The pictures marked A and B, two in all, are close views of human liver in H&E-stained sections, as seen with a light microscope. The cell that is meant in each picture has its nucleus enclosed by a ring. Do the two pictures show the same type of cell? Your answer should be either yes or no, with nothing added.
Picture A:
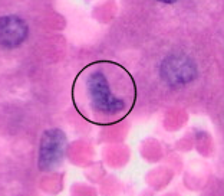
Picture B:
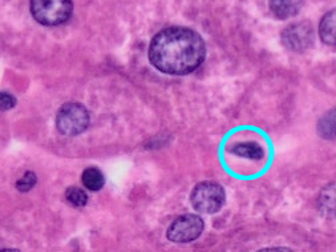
no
